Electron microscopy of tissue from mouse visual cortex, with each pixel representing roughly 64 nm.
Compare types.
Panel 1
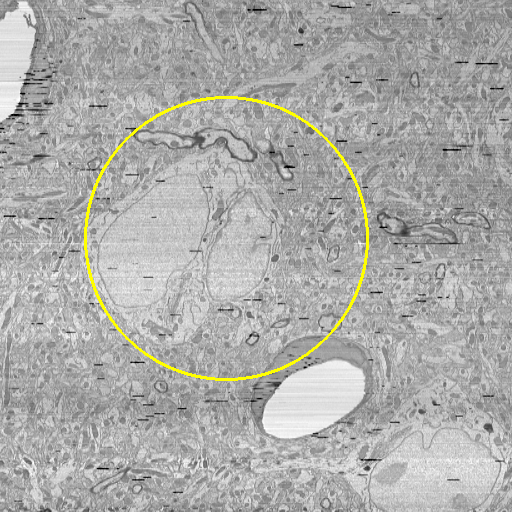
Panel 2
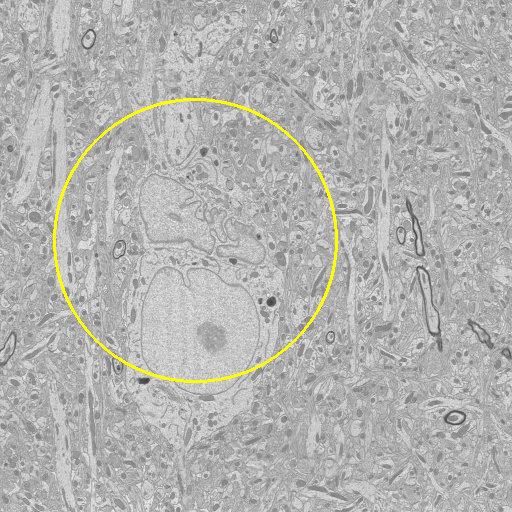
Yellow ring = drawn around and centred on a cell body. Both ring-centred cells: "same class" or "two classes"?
same class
